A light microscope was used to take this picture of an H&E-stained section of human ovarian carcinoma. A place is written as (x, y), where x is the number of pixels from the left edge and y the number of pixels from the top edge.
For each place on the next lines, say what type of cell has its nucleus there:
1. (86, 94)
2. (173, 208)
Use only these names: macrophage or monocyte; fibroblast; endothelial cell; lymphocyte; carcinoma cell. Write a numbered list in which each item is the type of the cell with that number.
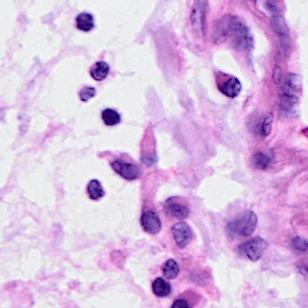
1. lymphocyte
2. macrophage or monocyte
